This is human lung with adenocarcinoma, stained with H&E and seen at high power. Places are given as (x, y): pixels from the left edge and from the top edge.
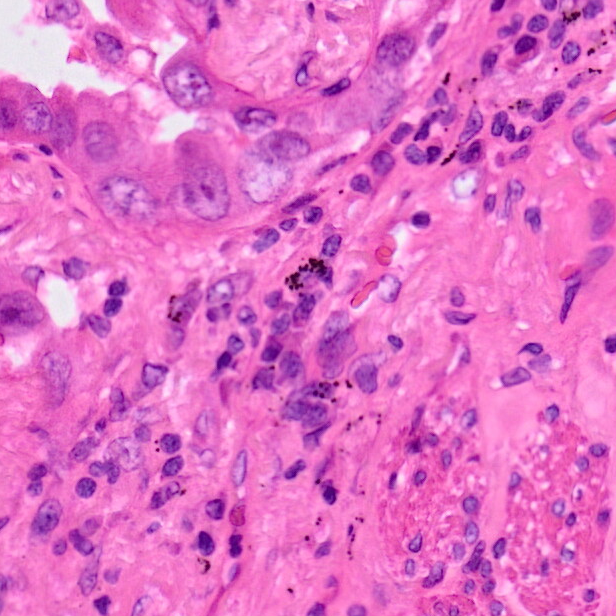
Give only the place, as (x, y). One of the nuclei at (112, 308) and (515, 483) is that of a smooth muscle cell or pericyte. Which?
(515, 483)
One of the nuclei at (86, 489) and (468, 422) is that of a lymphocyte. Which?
(86, 489)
